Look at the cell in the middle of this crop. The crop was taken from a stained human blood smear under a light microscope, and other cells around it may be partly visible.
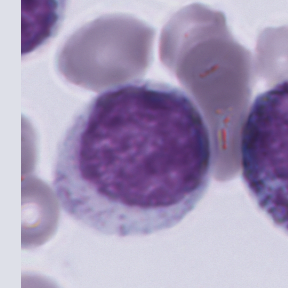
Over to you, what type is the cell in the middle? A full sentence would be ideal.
The cell featured at the centre of this crop is a myelocyte.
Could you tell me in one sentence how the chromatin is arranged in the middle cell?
Coarse clumps are absent, and the chromatin is fine throughout.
